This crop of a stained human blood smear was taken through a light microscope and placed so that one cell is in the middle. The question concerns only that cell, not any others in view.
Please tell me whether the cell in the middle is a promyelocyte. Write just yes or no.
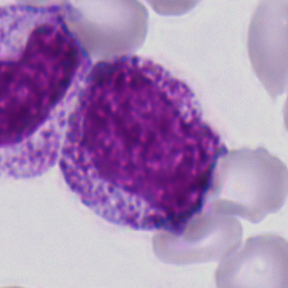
no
